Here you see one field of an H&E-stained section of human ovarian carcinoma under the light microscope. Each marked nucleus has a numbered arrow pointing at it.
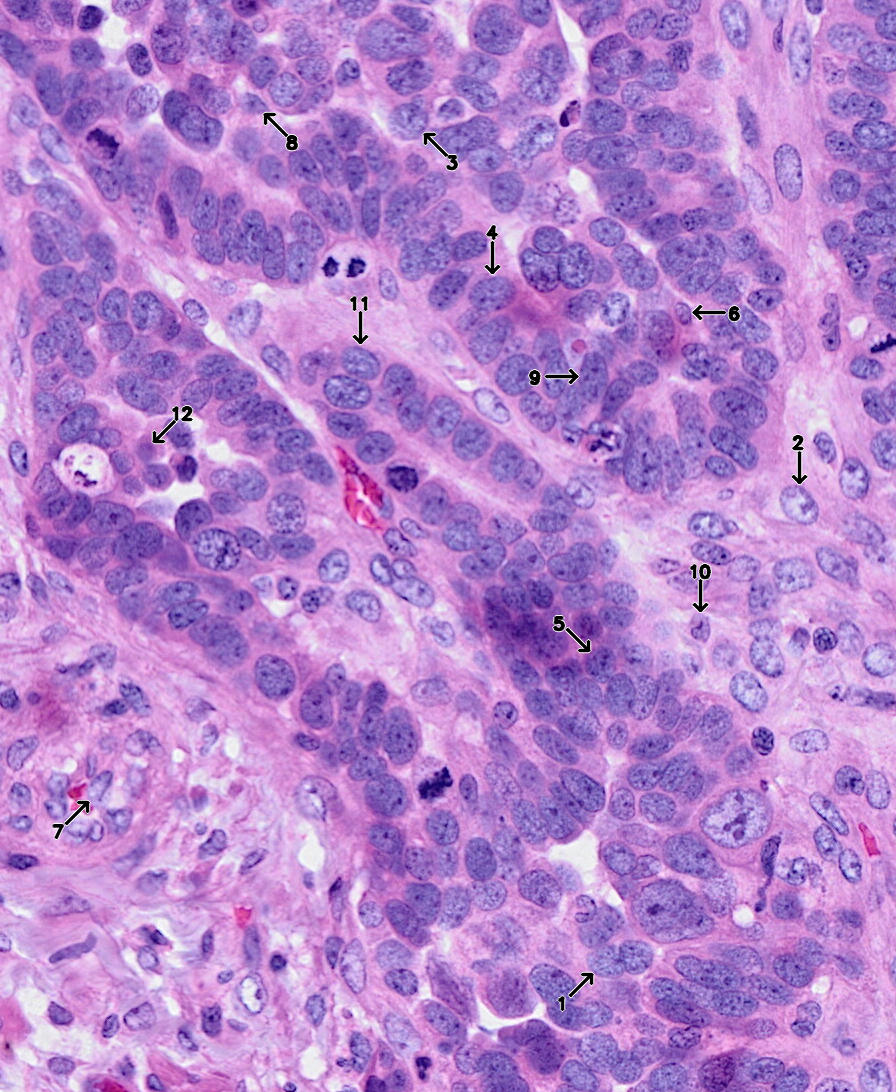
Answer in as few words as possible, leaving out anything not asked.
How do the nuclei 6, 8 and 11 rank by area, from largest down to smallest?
11, 8, 6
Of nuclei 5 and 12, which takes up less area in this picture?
12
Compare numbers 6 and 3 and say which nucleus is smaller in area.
6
